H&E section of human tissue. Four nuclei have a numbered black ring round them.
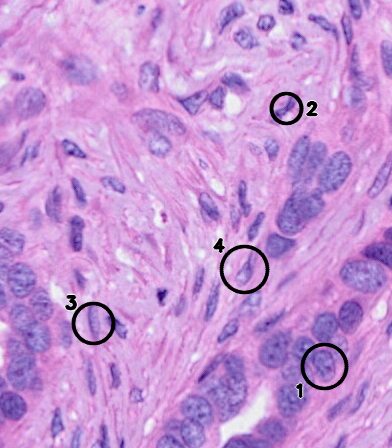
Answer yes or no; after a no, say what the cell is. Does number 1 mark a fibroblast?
No, it is a carcinoma cell.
